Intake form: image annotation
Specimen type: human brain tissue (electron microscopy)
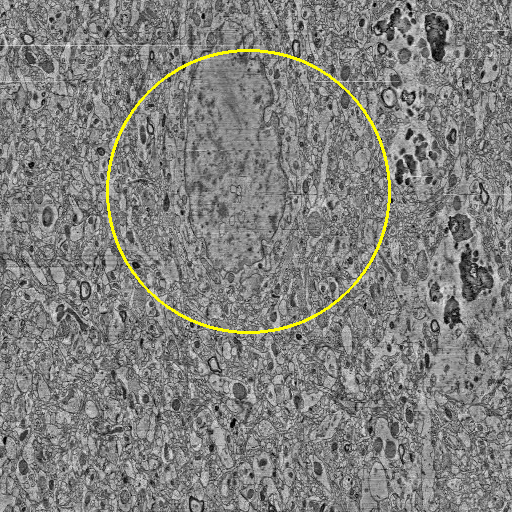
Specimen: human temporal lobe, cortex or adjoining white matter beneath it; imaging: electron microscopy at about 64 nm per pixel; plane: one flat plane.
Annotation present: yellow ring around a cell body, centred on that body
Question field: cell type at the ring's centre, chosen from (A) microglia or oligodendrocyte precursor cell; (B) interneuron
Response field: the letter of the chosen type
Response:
B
